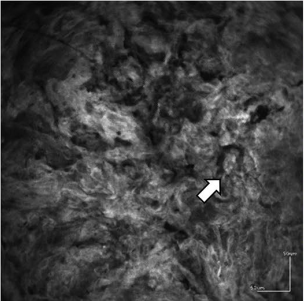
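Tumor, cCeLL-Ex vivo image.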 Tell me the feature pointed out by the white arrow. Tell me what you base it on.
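Meningothelial whorls. The arrow points to a small curved, rounded structure within fibrous bright tissue.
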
